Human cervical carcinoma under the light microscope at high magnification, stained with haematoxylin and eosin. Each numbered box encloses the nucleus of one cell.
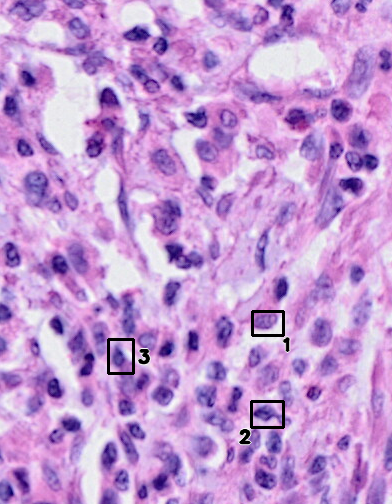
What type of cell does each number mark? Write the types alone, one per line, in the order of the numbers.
macrophage or monocyte
lymphocyte
lymphocyte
